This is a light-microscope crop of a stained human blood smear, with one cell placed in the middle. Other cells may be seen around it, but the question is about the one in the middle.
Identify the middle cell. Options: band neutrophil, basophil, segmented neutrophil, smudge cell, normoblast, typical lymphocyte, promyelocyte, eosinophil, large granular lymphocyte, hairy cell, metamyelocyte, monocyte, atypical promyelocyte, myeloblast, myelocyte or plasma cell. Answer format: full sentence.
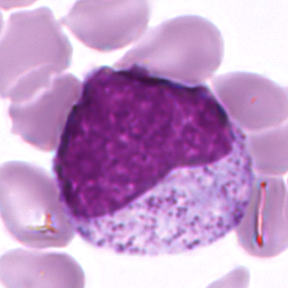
In this smear crop, the middle cell is a myelocyte.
